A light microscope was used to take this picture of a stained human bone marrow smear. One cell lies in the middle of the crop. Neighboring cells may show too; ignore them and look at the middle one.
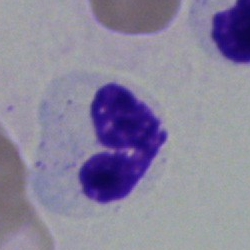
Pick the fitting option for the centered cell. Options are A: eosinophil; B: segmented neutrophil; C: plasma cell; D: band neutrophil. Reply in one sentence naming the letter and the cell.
The central cell of the crop is a segmented neutrophil, which makes B the correct option.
